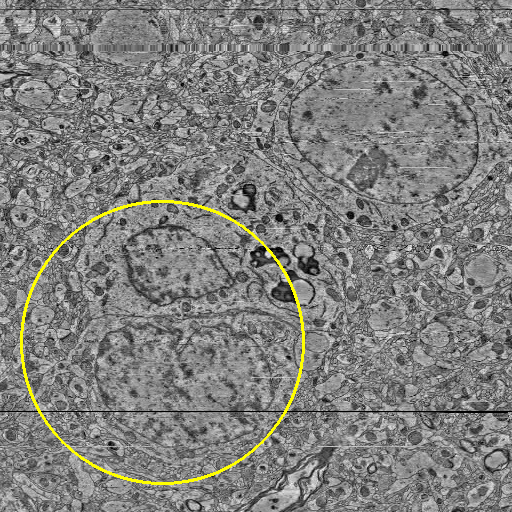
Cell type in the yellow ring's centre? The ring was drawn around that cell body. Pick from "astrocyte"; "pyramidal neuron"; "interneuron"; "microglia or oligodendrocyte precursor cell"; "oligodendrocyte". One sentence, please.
The ringed cell body is that of an interneuron.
